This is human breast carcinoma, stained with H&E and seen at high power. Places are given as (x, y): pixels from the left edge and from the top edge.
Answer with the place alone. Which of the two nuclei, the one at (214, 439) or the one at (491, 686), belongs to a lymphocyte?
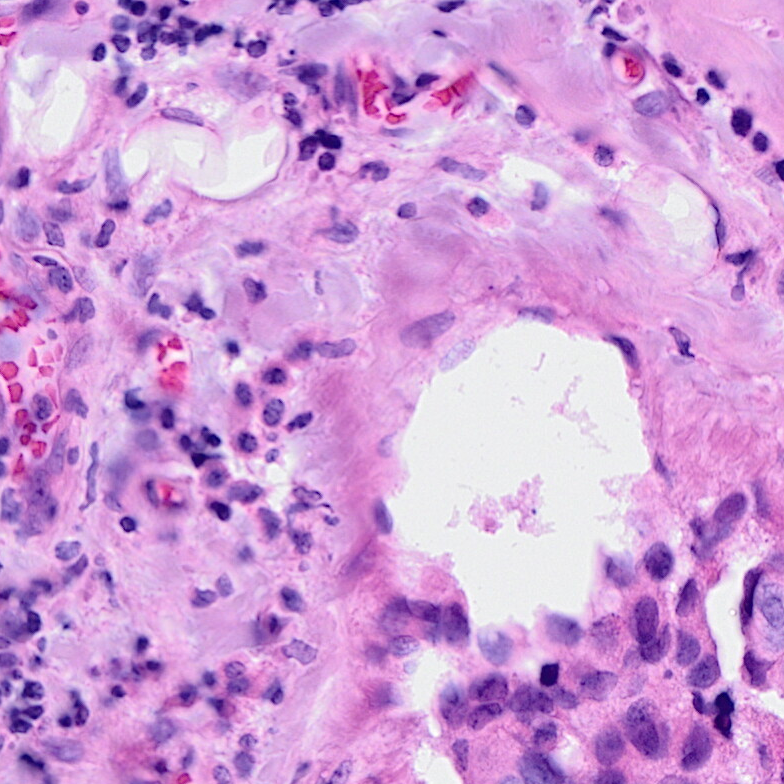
(214, 439)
